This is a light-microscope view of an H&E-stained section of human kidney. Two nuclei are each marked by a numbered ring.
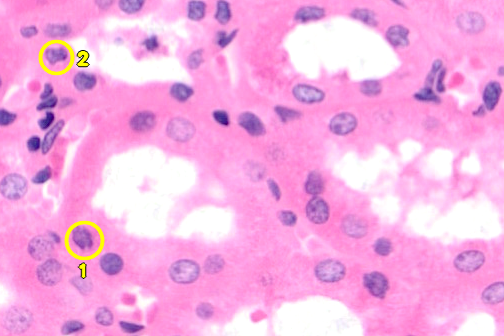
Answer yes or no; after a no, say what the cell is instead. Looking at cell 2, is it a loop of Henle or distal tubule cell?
Yes.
